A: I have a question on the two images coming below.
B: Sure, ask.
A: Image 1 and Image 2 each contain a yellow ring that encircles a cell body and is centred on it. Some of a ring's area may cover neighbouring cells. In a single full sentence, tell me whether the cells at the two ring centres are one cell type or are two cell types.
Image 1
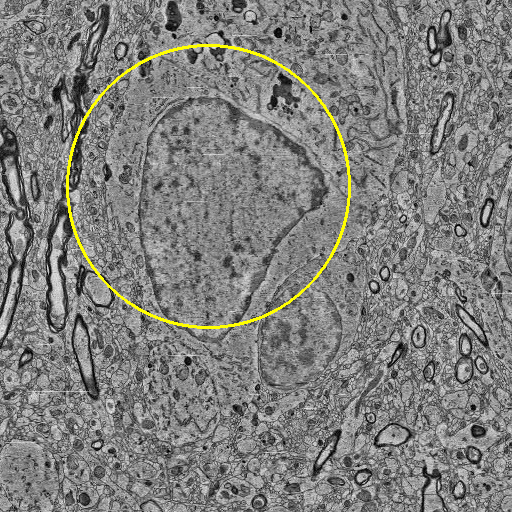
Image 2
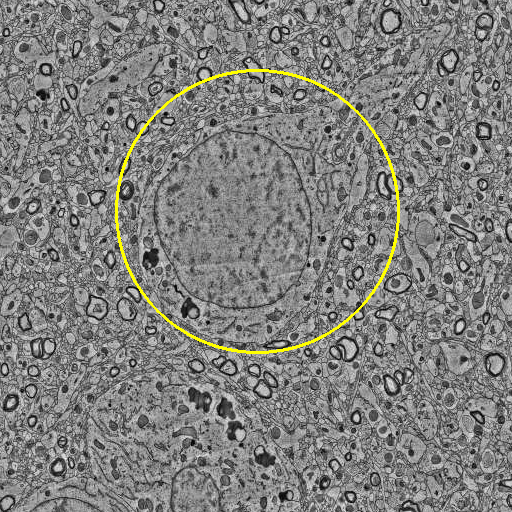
As for the ring-centre cells, the one in Image 1 and the one in Image 2 are two cell types.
